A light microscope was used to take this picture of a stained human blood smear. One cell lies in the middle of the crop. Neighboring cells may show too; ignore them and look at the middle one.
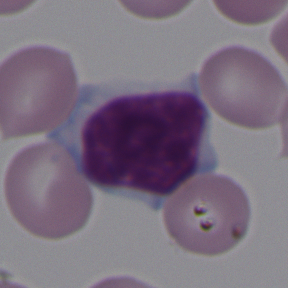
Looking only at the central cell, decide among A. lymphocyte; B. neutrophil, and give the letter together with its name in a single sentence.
In the middle of the crop is a lymphocyte; option A is therefore correct.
